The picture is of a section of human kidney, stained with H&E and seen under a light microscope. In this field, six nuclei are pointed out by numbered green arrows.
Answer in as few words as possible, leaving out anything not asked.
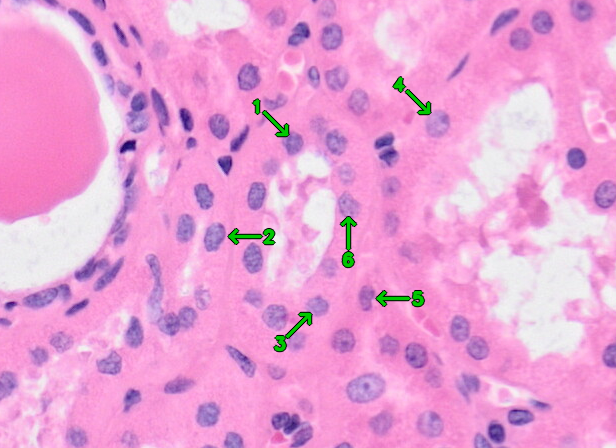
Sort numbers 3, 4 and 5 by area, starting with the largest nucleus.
4, 3, 5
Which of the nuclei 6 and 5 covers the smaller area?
5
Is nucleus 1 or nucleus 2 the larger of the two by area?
2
